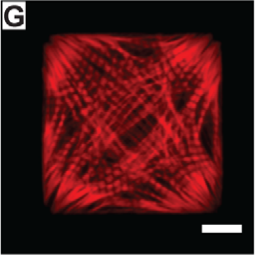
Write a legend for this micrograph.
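This is a single muscle cell spread into a square, filled with red-stained, cross-striated fibers. Many of the striated bundles run diagonally from corner to corner, the longest dimension of the square, and cross one another in the middle. Other bundles lie along the edges of the cell. The fibers form a dense, criss-crossing meshwork rather than a single parallel array. The outline of the cell is straight-sided with somewhat rounded corners.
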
